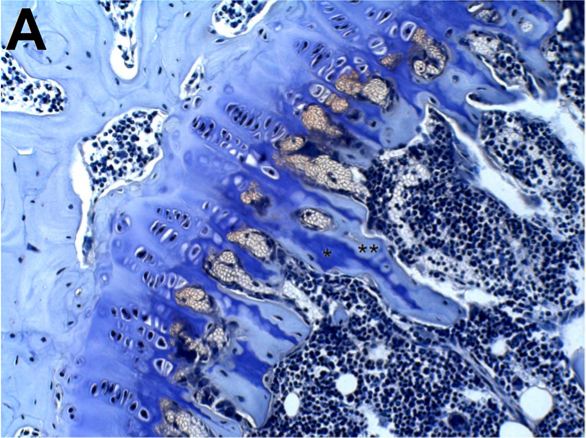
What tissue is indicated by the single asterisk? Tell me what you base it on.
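The single asterisk lies on a deep purple-blue strand of matrix continuous with the cartilage columns. The strand extends from the cartilage toward the marrow space.
Conclusion: calcified cartilage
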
